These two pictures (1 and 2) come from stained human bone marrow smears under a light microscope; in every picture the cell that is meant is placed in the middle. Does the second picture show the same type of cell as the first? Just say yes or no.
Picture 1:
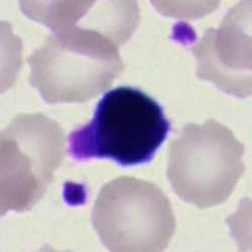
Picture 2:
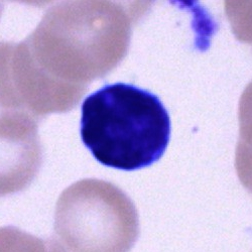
yes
